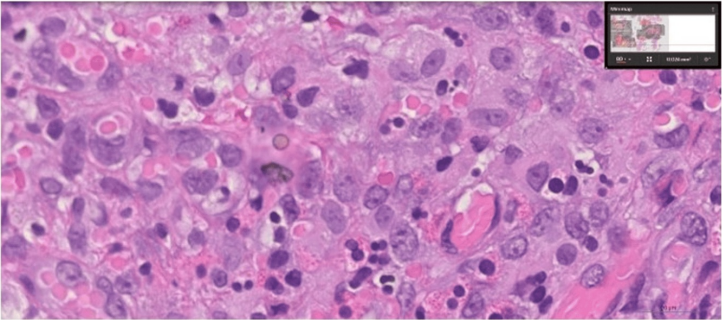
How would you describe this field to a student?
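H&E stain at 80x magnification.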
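Dense inflammatory infiltrate made up mostly of macrophages, with scattered lymphocytes and eosinophils between them. The macrophages are large, with abundant pale pink to violet cytoplasm and oval or indented vesicular nuclei carrying small nucleoli. The eosinophils are smaller, with bright red-orange granular cytoplasm and dark lobed nuclei. The lymphocytes are small round cells with dense dark nuclei and scant cytoplasm, and a few strands of pink collagen run through the infiltrate.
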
